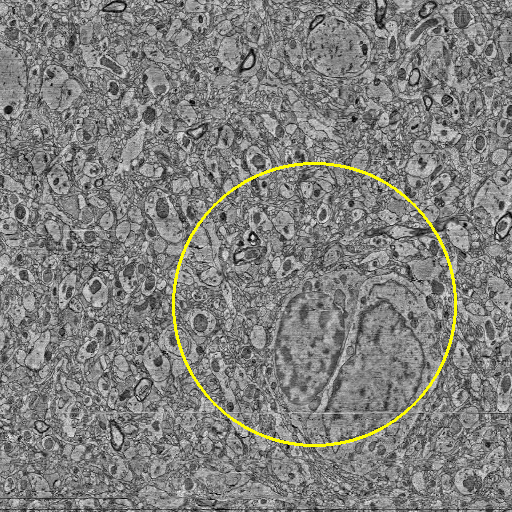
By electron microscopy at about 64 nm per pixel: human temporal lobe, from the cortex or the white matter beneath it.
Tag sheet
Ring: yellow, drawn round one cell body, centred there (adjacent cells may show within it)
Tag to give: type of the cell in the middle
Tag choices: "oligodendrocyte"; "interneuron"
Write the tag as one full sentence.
I tag the cell centred in the yellow ring as an oligodendrocyte in this picture.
